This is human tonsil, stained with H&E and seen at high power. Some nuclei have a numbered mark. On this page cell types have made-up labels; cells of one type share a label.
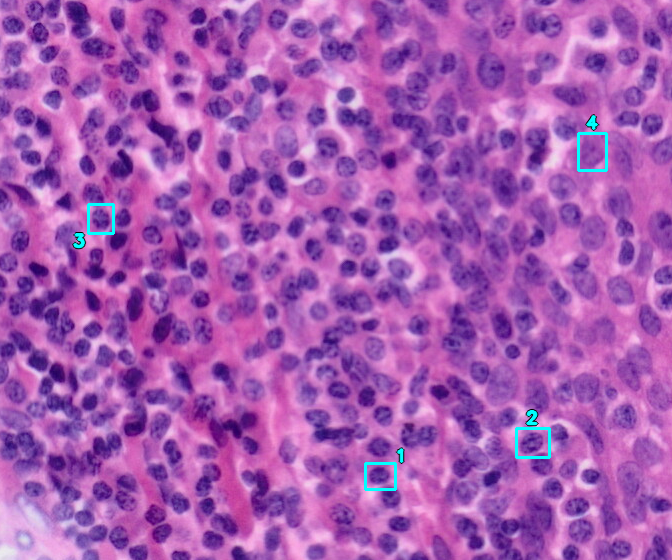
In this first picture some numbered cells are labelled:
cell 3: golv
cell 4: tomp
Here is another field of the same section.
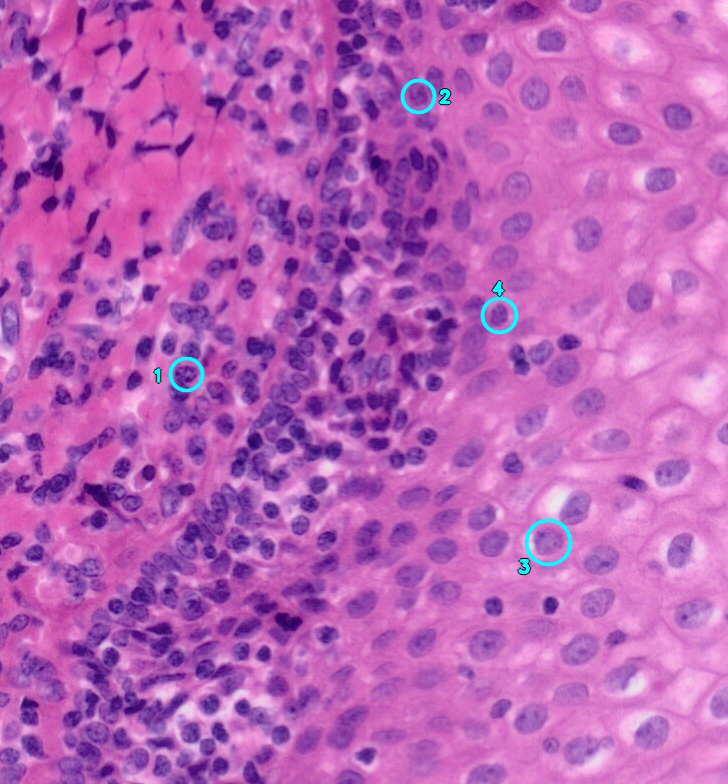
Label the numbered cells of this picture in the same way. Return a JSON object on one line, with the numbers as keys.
{"1": "golv", "2": "tomp", "3": "tomp", "4": "tomp"}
